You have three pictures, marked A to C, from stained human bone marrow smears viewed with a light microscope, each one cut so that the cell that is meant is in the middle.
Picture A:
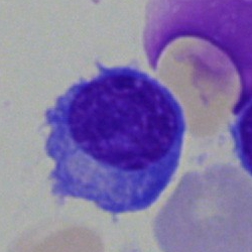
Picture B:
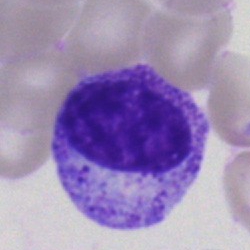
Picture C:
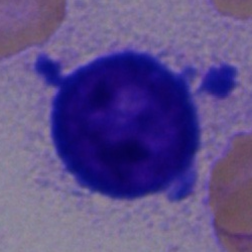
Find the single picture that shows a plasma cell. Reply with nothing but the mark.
A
